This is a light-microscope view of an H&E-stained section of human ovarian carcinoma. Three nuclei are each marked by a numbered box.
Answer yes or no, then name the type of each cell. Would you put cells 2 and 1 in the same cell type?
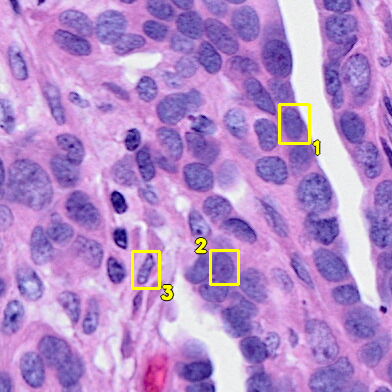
Yes, cells 2 and 1 are both to be classed as carcinoma cells.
